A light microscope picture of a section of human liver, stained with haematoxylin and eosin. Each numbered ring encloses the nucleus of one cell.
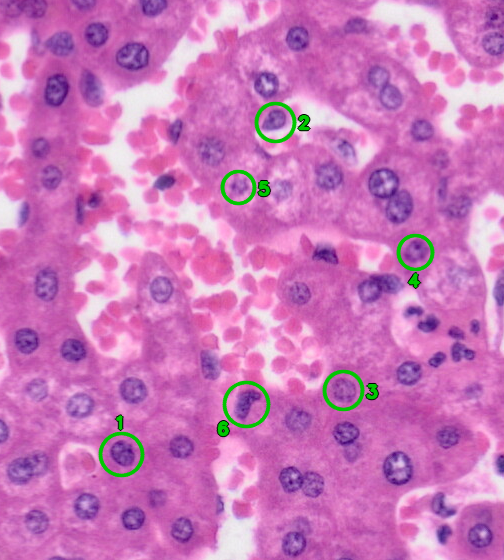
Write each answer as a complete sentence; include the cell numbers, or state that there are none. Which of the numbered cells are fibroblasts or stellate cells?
Only cell 6 should be marked as a fibroblast or stellate cell.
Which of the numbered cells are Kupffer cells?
Of those with numbers, only cell 2 is a Kupffer cell.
